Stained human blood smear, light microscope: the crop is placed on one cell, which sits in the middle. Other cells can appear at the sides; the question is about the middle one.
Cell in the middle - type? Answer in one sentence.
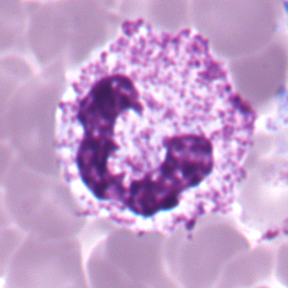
The central cell in this smear crop is a segmented neutrophil.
